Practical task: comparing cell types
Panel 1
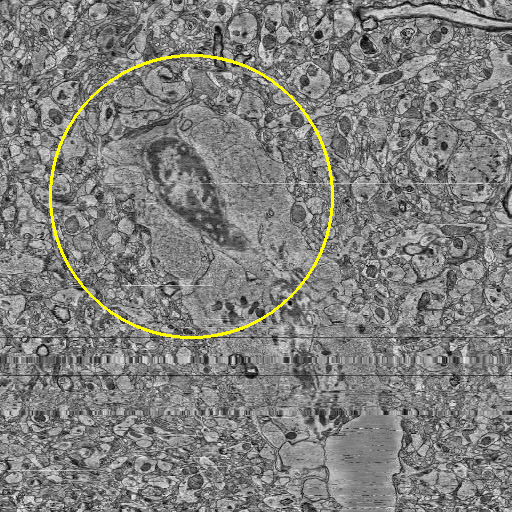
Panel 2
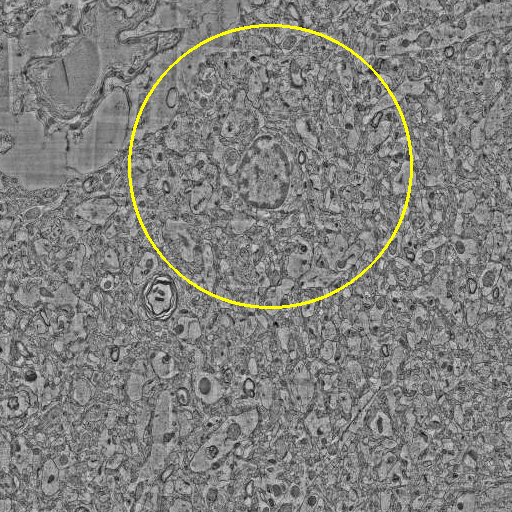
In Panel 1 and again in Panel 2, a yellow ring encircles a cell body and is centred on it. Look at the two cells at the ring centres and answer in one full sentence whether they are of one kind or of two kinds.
The two cells sitting at the ring centres of Panels 1 and 2 are of one kind.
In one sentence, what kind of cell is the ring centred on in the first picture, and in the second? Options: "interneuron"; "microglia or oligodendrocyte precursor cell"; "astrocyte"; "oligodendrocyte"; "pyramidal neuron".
In the first picture and in the second, the ring is centred on a microglial cell or oligodendrocyte precursor cell.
